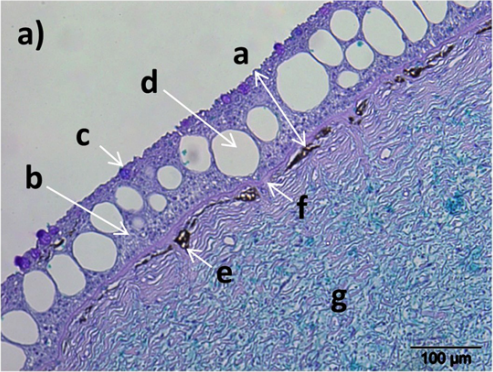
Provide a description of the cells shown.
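This section of fish skin shows a thin epidermis lying over a thick fibrous dermis. The epidermis is dominated by large, rounded, clear saccular cells that appear as empty spaces arranged in a row, between which lie small packed epidermal cells with dark nuclei. A few purple-stained goblet cells sit at the outer surface. A thin purple basal layer marks the base of the epidermis, and just beneath it black irregular pigment deposits run along the dermis.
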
